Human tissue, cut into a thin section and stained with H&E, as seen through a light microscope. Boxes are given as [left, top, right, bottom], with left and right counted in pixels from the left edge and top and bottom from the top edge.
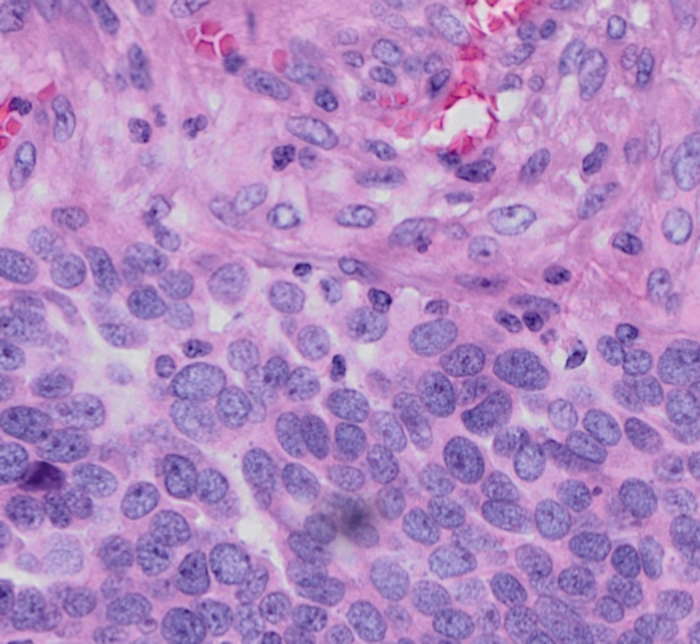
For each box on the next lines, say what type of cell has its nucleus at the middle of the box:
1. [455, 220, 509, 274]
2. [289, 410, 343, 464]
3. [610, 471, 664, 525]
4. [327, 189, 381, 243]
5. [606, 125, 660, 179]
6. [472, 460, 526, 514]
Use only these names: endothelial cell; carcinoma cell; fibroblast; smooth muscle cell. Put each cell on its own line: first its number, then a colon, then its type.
1: fibroblast
2: carcinoma cell
3: carcinoma cell
4: fibroblast
5: fibroblast
6: carcinoma cell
